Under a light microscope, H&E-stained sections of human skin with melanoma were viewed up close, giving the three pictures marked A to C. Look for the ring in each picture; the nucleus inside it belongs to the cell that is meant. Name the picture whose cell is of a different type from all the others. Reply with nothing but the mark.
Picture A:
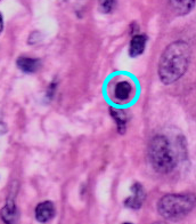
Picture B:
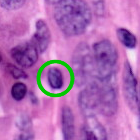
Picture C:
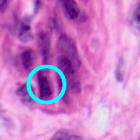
C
